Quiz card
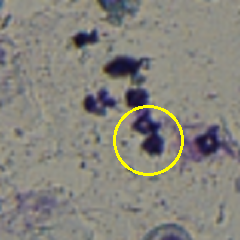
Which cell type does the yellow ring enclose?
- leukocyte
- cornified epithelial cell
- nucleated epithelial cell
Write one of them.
leukocyte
